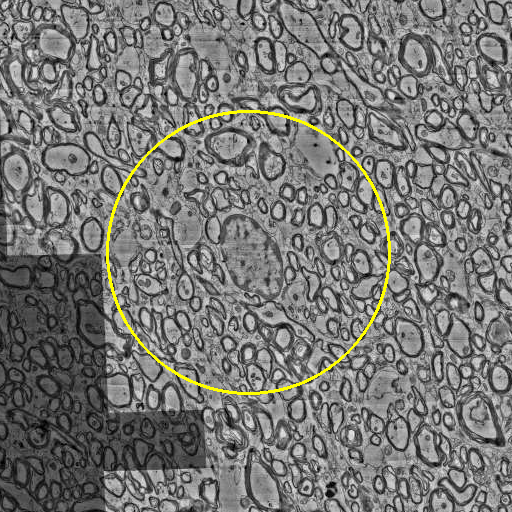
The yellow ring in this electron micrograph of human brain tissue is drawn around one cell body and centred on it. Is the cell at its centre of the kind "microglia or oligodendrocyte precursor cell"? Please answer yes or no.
yes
